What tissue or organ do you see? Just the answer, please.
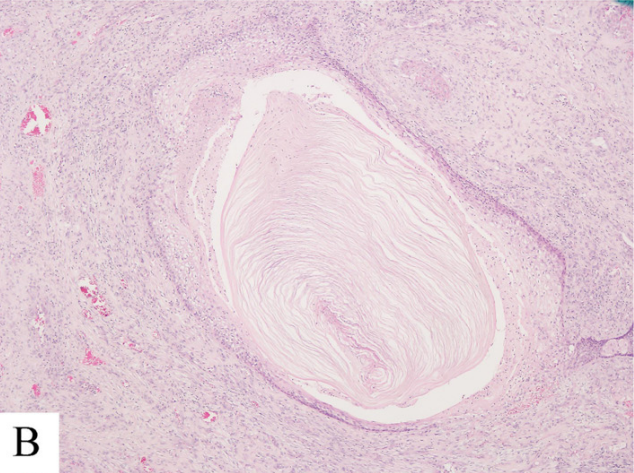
Keratinizing squamous epithelium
